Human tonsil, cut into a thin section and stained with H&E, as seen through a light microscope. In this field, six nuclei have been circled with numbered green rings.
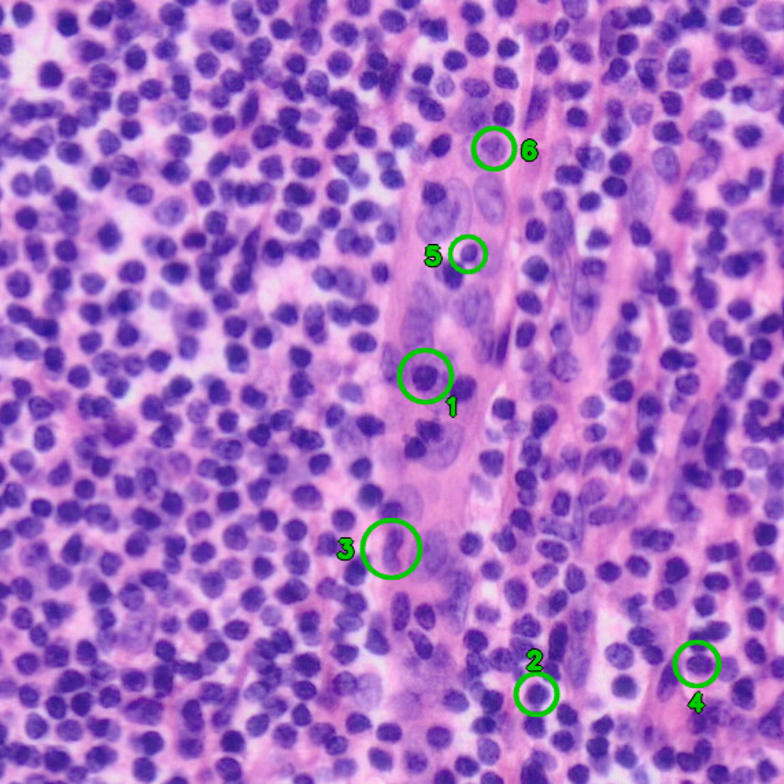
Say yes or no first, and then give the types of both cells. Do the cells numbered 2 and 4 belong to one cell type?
Yes, the cell marked 2 and the cell marked 4 are both small lymphocytes.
